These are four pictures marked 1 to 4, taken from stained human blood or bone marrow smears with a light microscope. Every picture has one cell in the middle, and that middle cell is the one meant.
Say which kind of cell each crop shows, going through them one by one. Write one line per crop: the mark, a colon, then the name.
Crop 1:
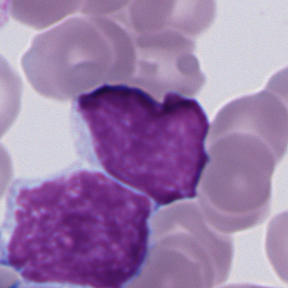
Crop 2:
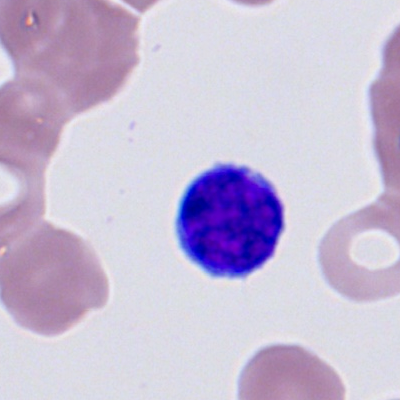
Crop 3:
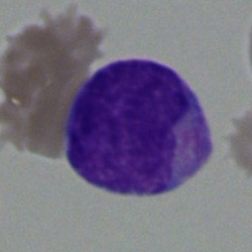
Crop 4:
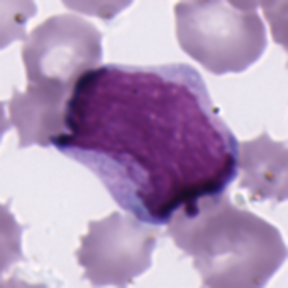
1: lymphocyte
2: lymphocyte
3: blast
4: blast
